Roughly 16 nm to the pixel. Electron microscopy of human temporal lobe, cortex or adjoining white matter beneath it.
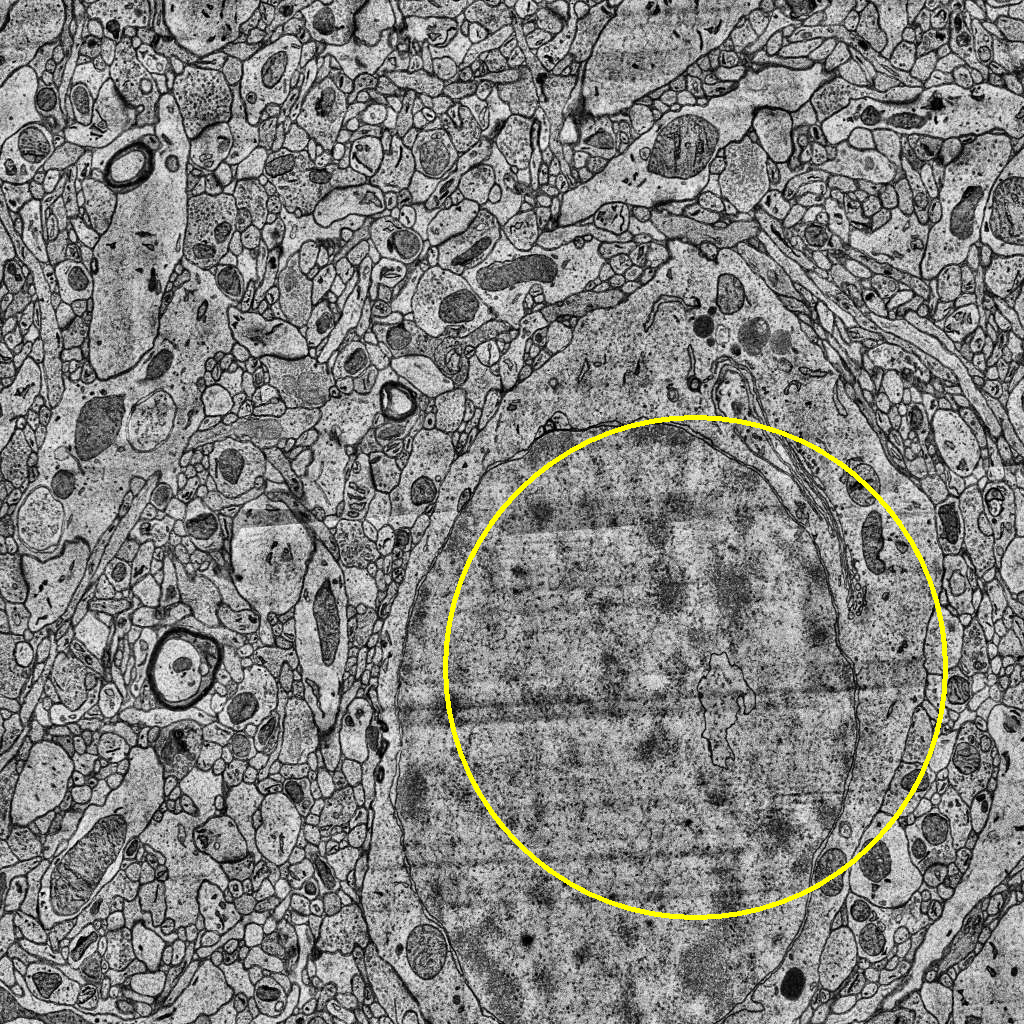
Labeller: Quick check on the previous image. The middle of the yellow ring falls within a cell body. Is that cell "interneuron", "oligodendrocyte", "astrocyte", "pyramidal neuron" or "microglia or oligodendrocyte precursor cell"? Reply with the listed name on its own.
interneuron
